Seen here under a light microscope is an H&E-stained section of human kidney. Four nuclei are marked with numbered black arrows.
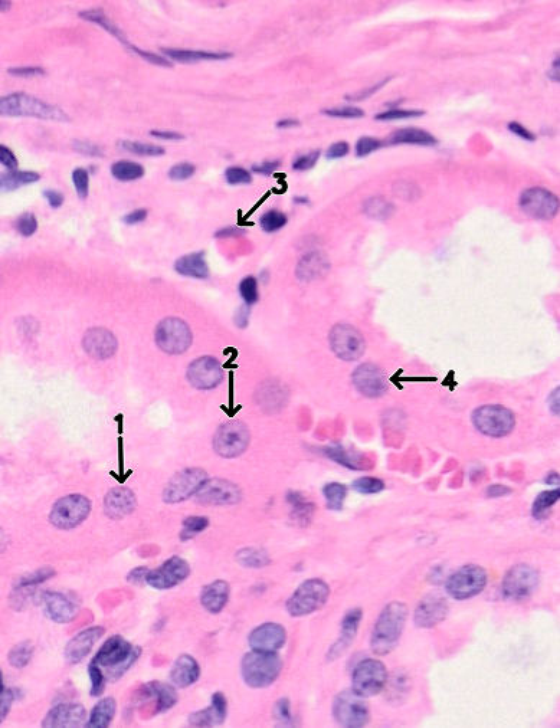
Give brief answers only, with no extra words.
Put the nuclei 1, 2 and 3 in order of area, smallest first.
3, 1, 2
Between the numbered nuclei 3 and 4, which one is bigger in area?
4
